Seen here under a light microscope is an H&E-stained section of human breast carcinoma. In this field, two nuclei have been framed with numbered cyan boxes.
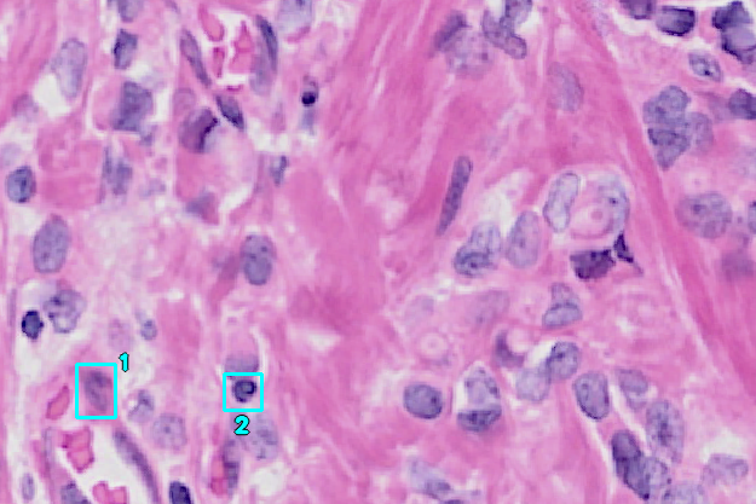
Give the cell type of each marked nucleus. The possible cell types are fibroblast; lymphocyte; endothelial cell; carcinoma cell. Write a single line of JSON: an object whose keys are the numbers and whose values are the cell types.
{"1": "endothelial cell", "2": "lymphocyte"}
